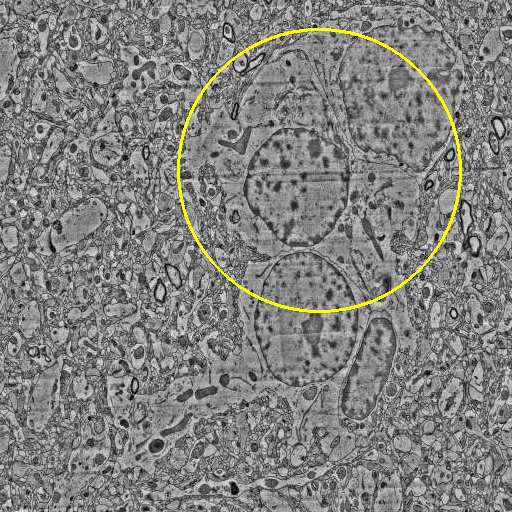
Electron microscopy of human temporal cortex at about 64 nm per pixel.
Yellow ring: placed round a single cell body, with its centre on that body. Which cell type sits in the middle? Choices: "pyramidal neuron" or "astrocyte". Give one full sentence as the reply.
It is an astrocyte whose cell body sits at the centre of the yellow ring.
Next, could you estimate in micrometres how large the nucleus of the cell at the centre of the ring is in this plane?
In this plane the nucleus is about 7 micrometres across.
